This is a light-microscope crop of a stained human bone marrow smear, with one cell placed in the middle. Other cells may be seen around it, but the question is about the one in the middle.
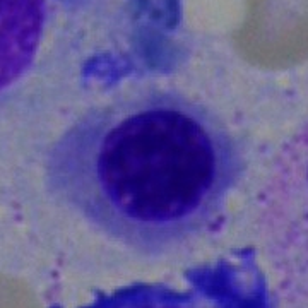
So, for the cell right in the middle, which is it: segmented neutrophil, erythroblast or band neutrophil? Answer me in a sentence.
For this crop, the central cell is an erythroblast.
